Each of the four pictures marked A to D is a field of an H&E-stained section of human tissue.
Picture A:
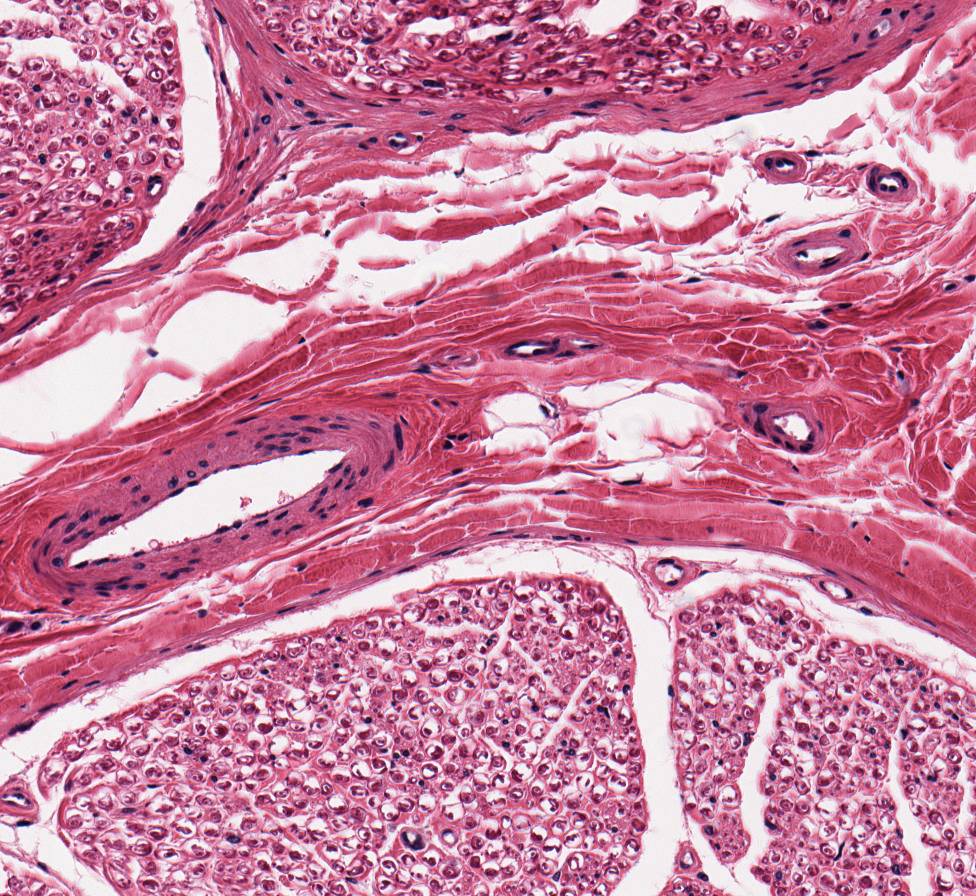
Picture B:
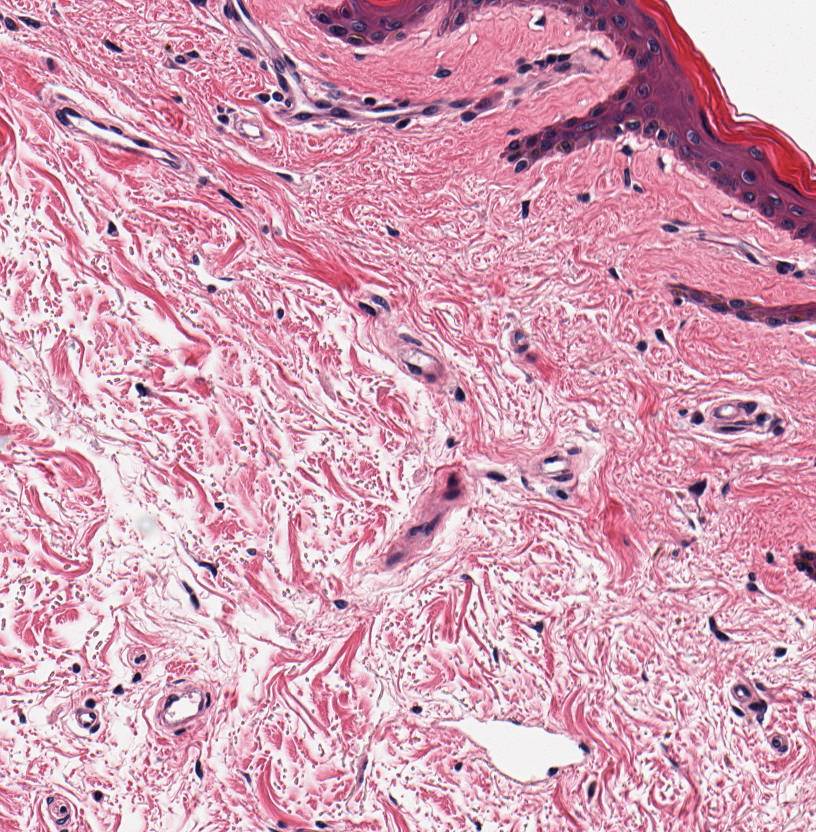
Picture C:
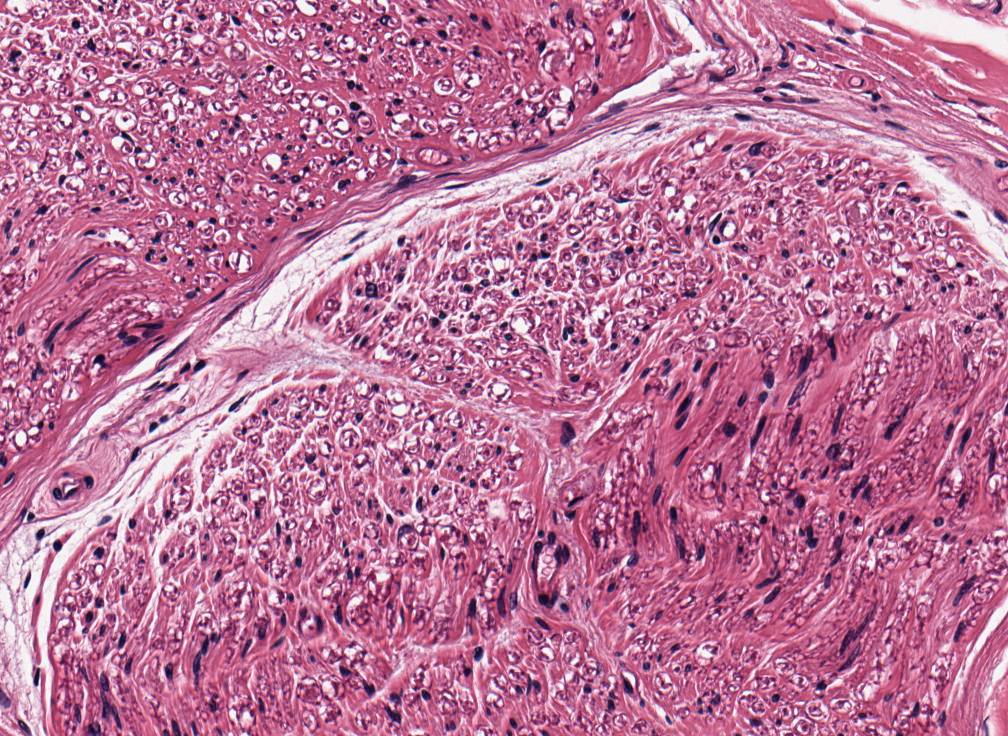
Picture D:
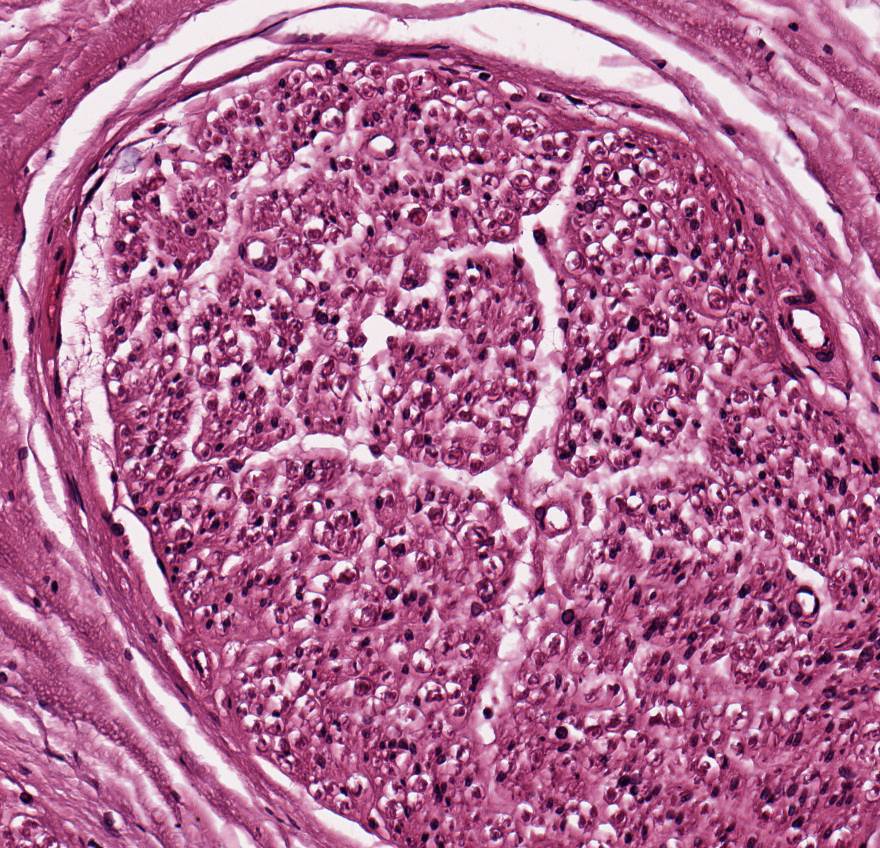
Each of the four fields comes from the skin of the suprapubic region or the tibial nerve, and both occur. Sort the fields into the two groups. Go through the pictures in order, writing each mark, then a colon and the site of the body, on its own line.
A: tibial nerve
B: skin of the suprapubic region
C: tibial nerve
D: tibial nerve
